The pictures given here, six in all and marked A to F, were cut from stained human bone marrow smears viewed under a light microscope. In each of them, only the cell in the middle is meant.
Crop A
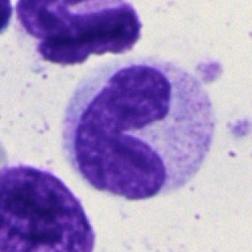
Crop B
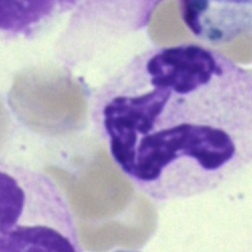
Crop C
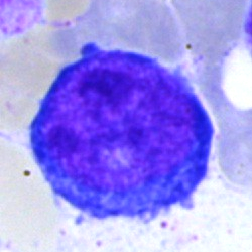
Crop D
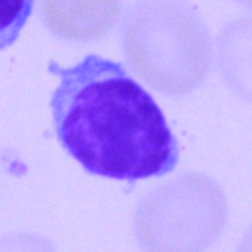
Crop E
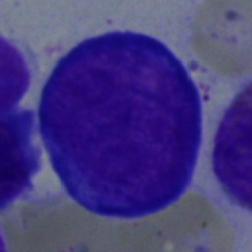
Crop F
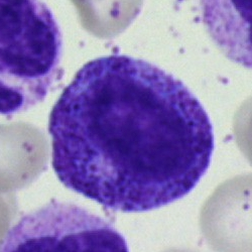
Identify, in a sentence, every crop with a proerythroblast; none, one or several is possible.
Of the crops in this set, C and E show proerythroblasts.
